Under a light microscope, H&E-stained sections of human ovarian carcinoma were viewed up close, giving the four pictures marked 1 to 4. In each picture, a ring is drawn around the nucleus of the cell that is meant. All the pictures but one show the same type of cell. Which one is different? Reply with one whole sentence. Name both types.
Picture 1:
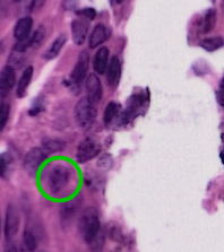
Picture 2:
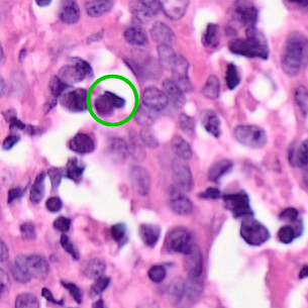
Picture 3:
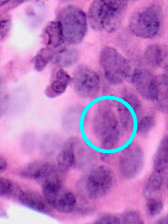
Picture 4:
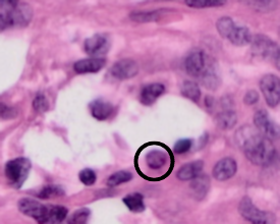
Unlike the rest, which show carcinoma cells, picture 4 shows a “macrophage or monocyte”.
